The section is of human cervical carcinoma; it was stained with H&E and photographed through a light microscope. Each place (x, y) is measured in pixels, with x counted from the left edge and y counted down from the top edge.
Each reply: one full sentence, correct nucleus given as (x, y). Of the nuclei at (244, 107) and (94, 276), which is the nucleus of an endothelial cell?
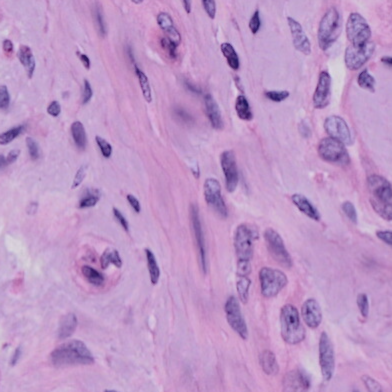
Out of the two, it is the nucleus at (94, 276) that belongs to an endothelial cell.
